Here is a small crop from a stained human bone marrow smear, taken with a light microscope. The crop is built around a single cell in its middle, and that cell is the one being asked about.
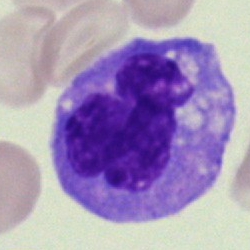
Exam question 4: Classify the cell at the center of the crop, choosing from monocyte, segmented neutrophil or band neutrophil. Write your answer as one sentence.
For this crop, the cell in the middle is a monocyte.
